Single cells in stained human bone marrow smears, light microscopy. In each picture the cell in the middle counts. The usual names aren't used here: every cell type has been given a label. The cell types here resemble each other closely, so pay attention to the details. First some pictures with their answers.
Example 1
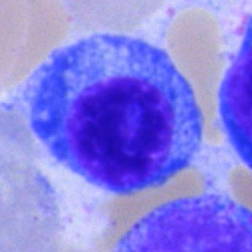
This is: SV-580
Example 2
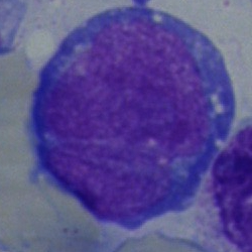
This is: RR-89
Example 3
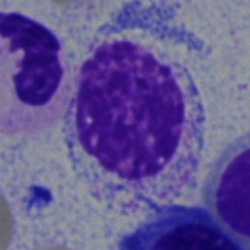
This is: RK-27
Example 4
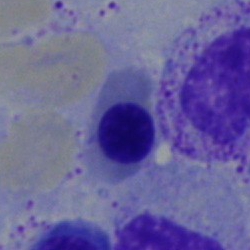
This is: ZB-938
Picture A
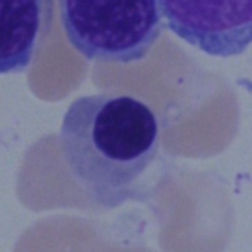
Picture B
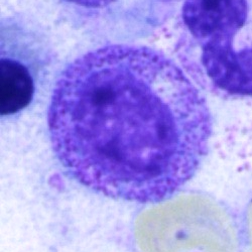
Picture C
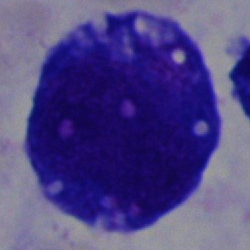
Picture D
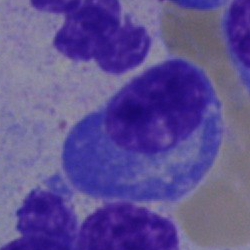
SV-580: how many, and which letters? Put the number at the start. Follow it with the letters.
1: D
